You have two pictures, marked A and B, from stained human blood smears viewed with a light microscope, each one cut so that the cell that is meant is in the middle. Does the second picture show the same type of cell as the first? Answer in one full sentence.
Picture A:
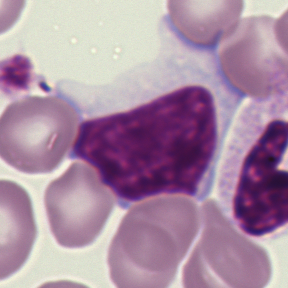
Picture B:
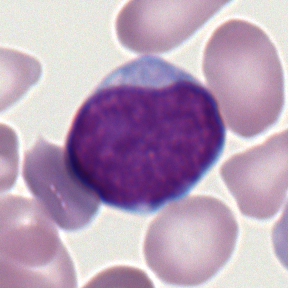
No, they differ: the cell is a typical lymphocyte in picture A and a myeloblast in picture B.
